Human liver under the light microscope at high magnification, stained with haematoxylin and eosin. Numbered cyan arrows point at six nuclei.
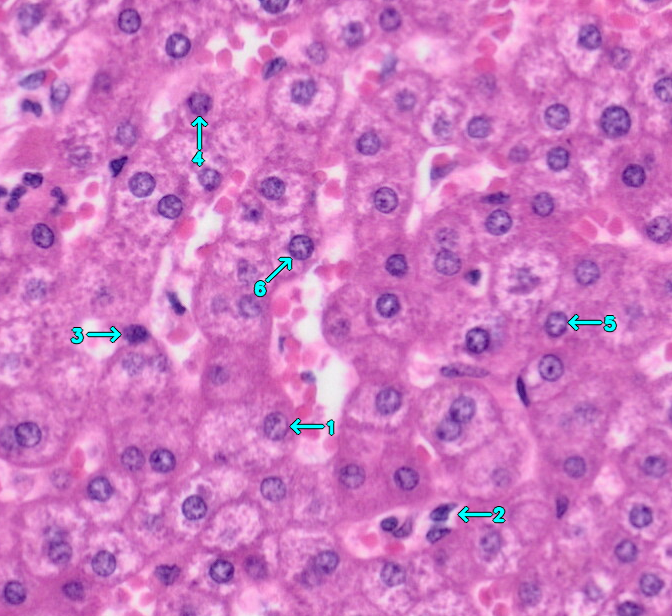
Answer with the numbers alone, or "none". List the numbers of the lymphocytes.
2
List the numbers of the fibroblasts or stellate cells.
3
